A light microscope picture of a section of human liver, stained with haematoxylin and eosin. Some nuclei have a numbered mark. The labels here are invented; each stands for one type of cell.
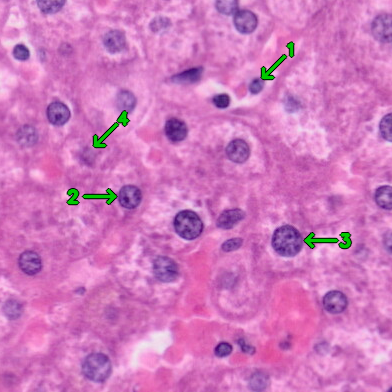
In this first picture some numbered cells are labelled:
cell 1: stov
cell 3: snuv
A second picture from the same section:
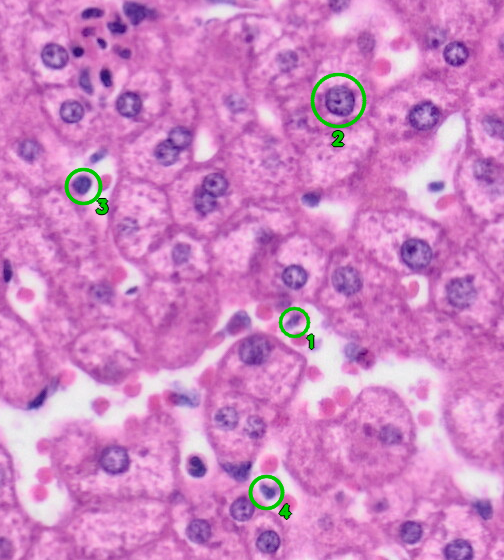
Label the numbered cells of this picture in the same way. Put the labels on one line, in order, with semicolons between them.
stov; snuv; stov; stov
